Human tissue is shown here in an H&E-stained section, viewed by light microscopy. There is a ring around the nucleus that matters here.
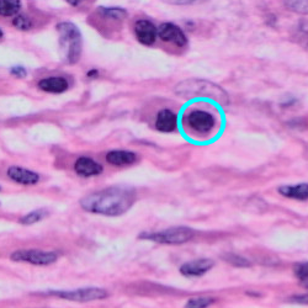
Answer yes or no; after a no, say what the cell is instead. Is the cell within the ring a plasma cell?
Yes.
